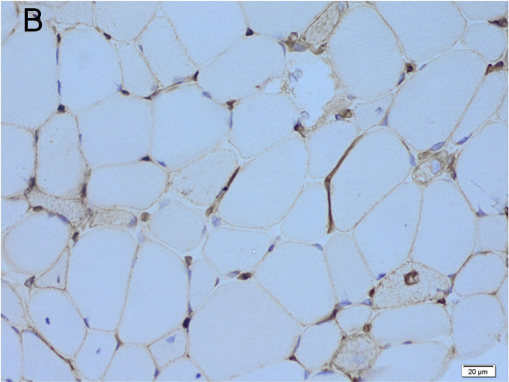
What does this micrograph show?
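This is skeletal muscle in cross-section, with rounded to polygonal myofibers of varying size. A brown stain outlines the borders of most fibers, tracing the sarcolemma around them, while their interiors remain pale. Some smaller fibers show brown stain within their cytoplasm as well. Small cells between the fibers are also stained brown, and blue nuclei sit at the fiber edges.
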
